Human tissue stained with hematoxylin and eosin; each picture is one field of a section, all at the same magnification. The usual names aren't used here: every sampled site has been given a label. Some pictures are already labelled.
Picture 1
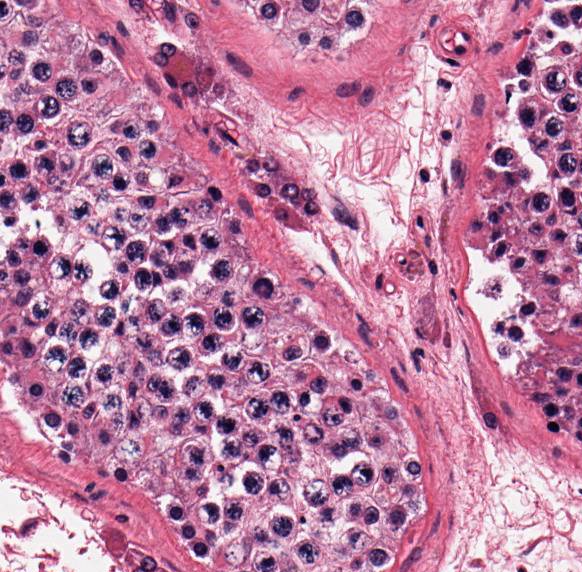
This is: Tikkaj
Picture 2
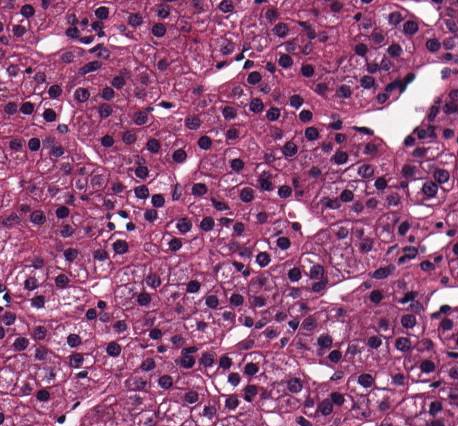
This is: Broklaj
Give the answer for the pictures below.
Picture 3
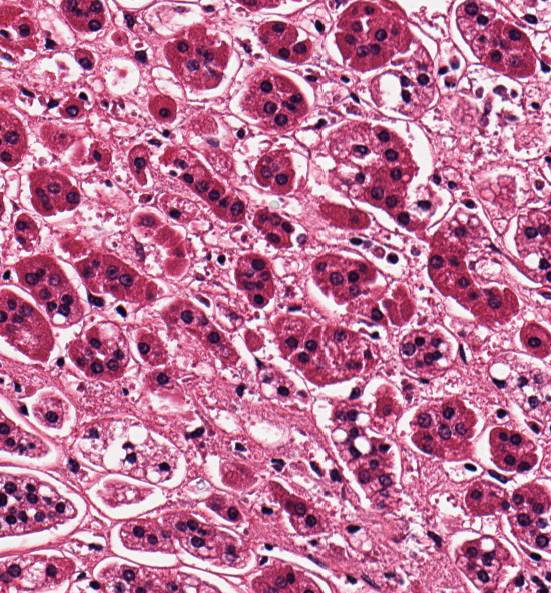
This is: Broklaj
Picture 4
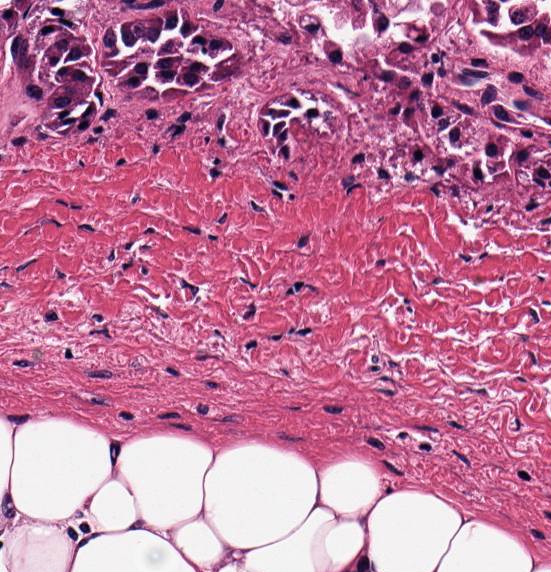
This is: Broklaj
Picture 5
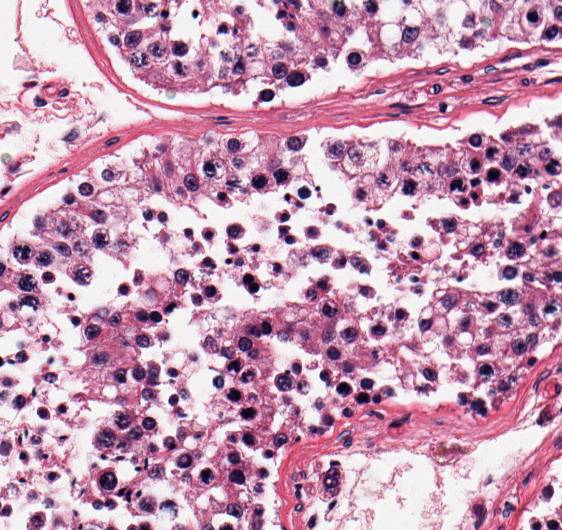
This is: Tikkaj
